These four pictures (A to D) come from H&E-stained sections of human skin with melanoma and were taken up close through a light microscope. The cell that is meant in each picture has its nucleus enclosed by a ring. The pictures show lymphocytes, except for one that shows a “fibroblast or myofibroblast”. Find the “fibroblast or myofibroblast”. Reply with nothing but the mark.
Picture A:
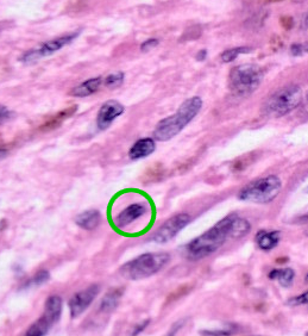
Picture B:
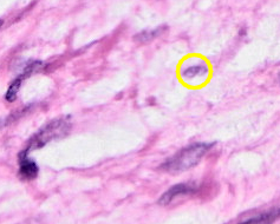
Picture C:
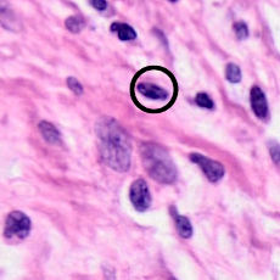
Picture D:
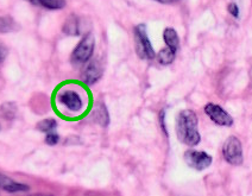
B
